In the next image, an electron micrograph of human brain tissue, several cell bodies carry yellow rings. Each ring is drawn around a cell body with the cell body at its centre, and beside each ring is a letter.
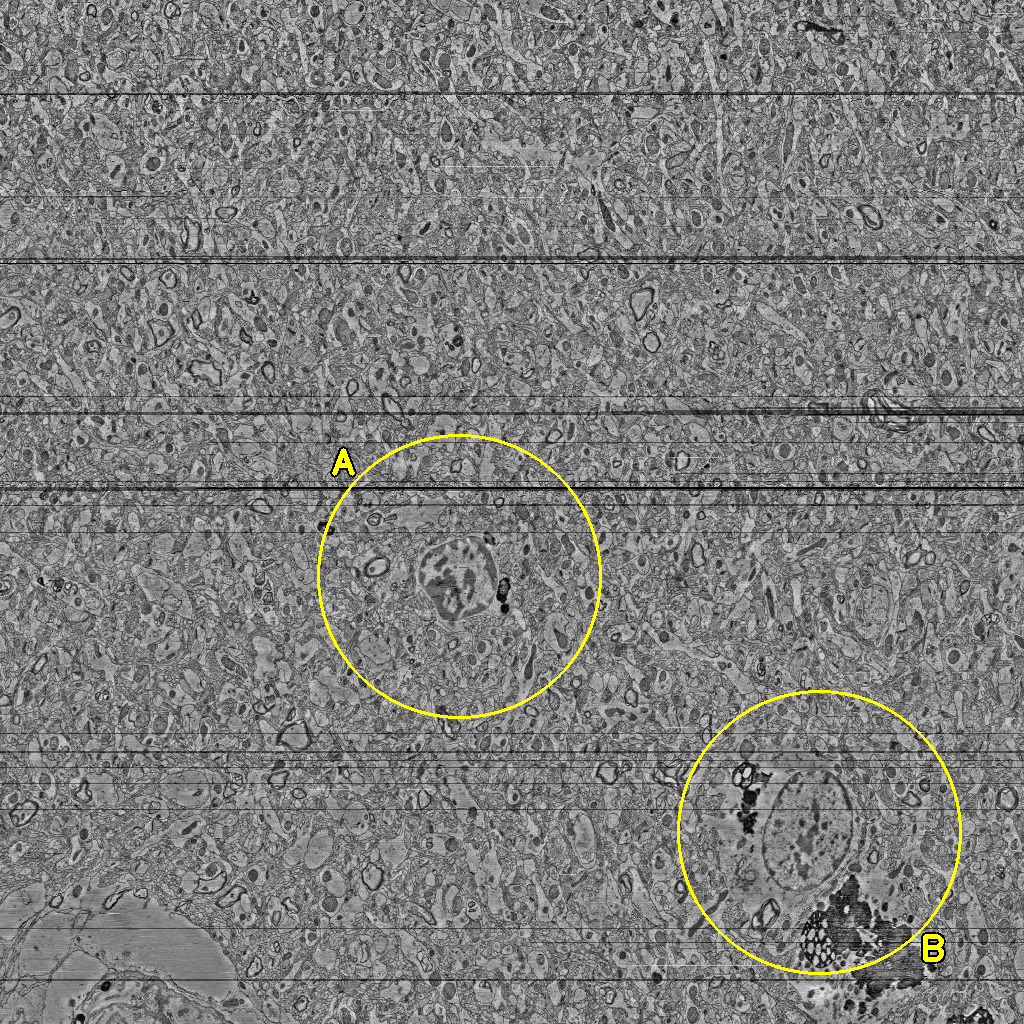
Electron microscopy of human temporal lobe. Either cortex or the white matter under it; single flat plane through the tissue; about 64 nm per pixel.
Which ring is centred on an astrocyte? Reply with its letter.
B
